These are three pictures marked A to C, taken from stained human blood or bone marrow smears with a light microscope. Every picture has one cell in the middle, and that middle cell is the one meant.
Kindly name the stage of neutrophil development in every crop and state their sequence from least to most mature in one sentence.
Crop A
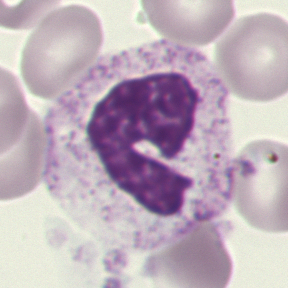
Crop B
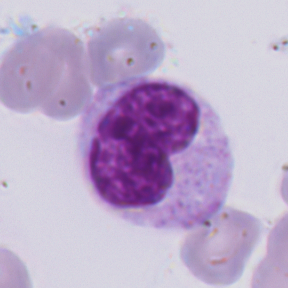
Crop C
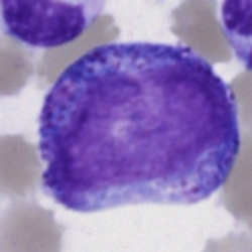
The order from the least mature cell to the most mature cell is crop C (a promyelocyte), crop B (a metamyelocyte) and crop A (a band neutrophil).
